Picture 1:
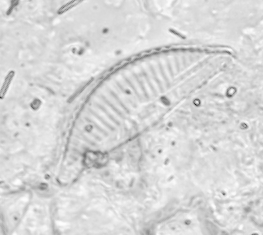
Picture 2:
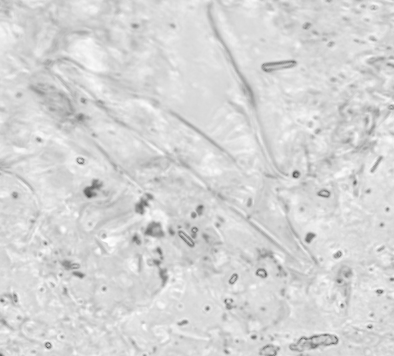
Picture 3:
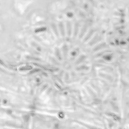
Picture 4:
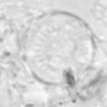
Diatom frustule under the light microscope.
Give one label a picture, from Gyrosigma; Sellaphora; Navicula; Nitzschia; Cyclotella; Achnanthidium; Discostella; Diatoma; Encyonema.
(1) Encyonema
(2) Navicula
(3) Discostella
(4) Discostella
